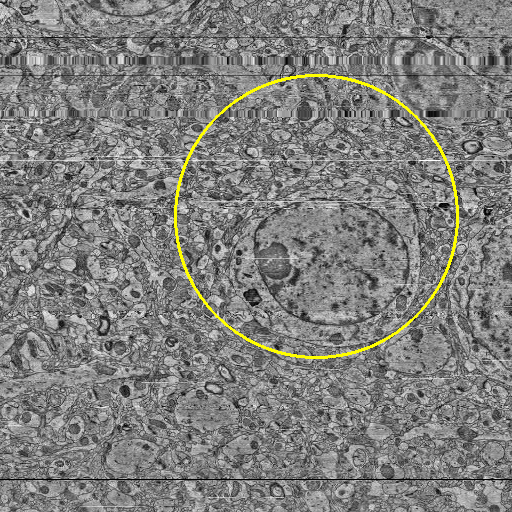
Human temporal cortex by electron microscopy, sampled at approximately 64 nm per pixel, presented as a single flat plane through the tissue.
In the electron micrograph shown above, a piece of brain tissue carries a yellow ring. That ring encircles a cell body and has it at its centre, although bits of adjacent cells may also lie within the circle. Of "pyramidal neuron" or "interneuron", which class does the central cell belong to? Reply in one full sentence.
The cell body at the centre of the yellow ring belongs to a pyramidal neuron.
